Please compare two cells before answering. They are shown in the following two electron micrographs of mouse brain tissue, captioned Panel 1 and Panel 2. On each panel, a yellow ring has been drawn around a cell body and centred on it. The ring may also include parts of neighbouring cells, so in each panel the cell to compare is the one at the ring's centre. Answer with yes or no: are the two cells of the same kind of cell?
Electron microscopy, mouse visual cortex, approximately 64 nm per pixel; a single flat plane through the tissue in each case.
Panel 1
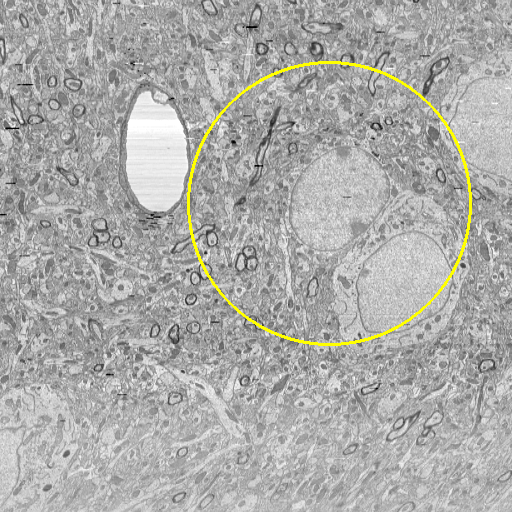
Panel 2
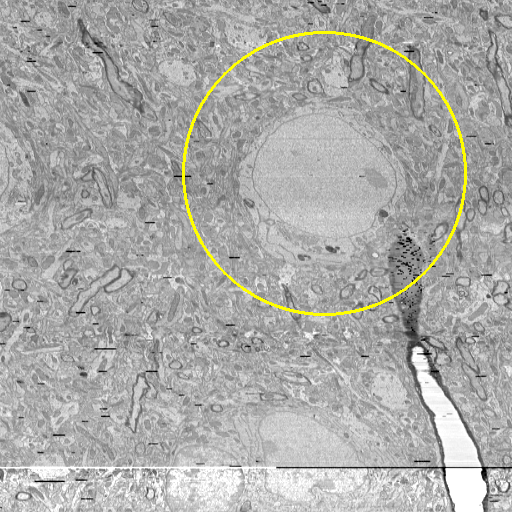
no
